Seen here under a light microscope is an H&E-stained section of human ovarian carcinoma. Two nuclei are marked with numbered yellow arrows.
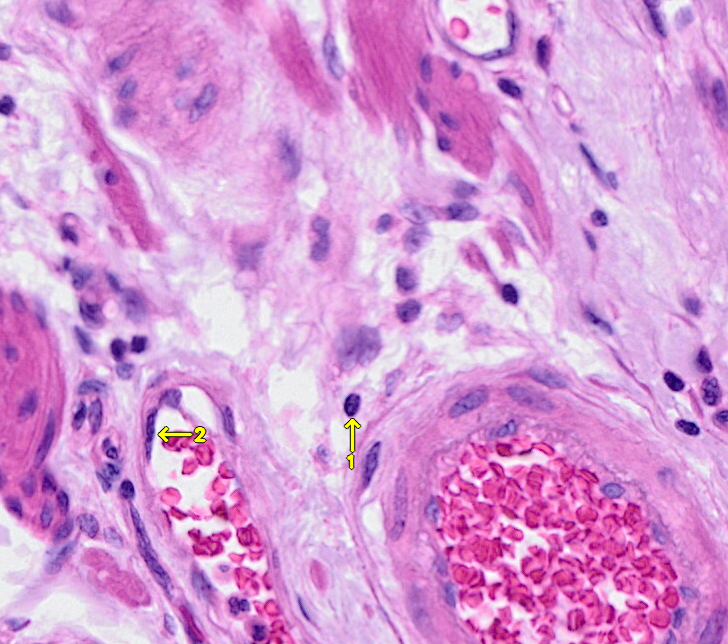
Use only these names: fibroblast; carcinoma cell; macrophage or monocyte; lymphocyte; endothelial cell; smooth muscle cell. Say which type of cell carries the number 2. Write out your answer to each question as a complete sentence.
The mark numbered 2 indicates the nucleus of an endothelial cell.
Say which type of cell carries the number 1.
The cell that bears the number 1 is a lymphocyte.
